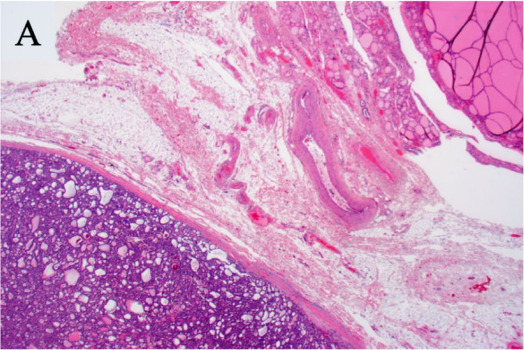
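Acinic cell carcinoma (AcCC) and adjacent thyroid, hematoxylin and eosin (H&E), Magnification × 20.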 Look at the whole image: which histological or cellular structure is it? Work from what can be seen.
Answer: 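A band of pale pink fibrous tissue runs between the densely cellular tumor at lower left and the colloid-filled follicles at upper right. The tumor edge is smooth and sharply bordered by this band.
Conclusion: fibrous capsule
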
